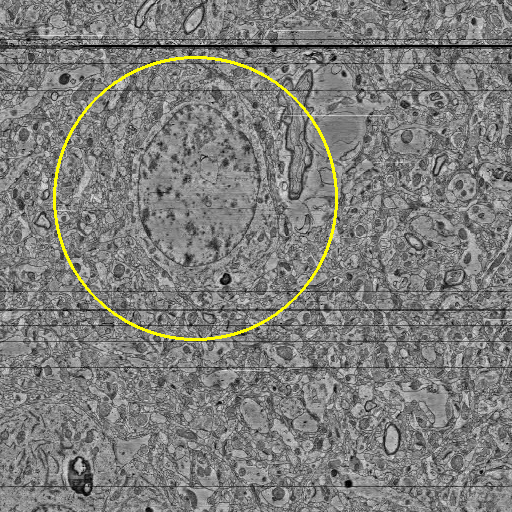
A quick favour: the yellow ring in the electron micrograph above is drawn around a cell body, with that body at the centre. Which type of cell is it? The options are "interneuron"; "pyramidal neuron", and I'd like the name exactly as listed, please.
pyramidal neuron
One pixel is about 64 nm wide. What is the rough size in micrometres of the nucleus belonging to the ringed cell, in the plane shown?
Roughly 11 micrometres by 8 micrometres, in this plane.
